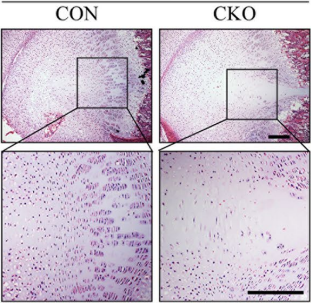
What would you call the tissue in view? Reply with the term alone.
Growth plate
